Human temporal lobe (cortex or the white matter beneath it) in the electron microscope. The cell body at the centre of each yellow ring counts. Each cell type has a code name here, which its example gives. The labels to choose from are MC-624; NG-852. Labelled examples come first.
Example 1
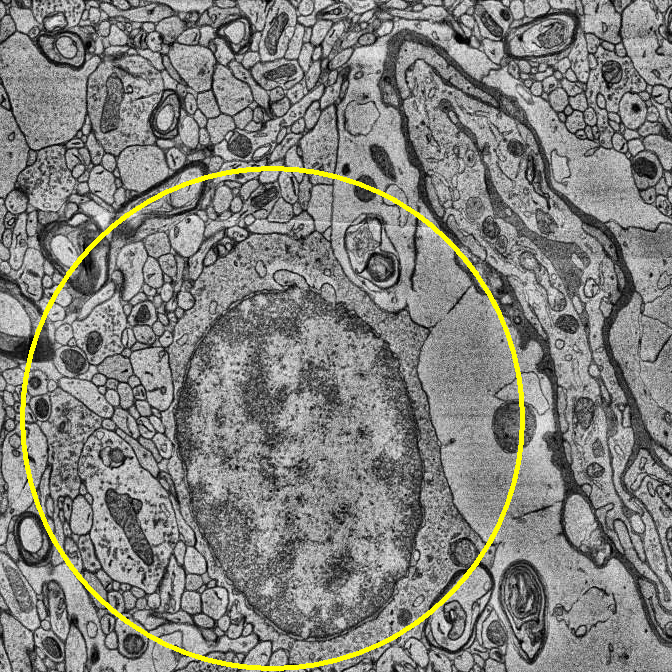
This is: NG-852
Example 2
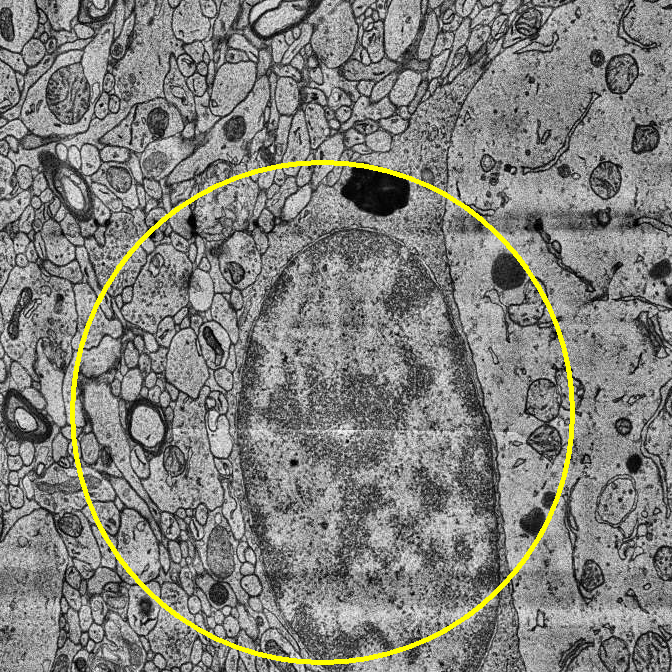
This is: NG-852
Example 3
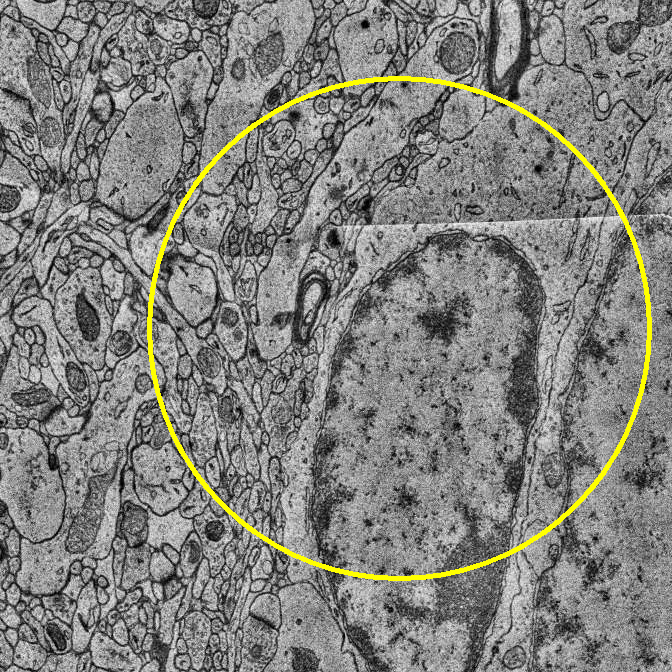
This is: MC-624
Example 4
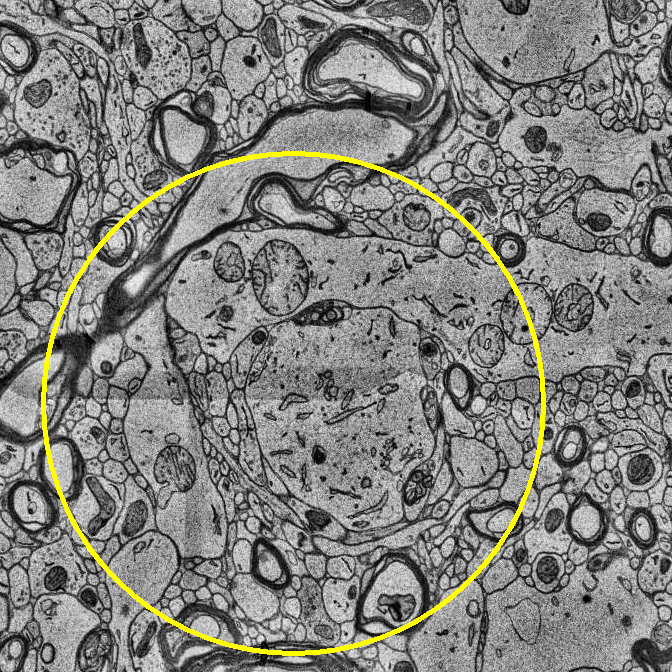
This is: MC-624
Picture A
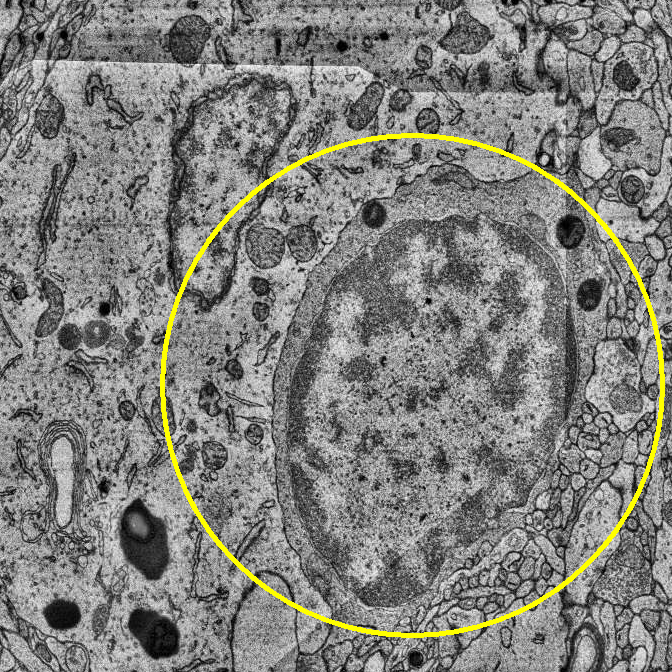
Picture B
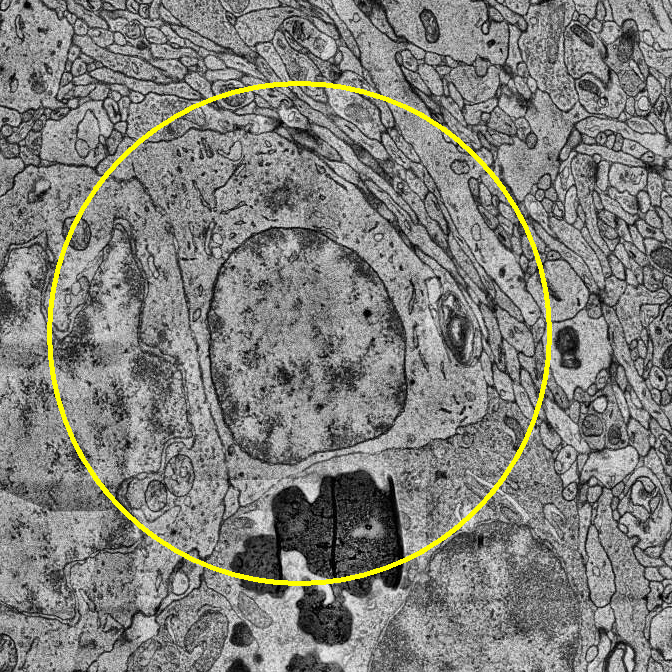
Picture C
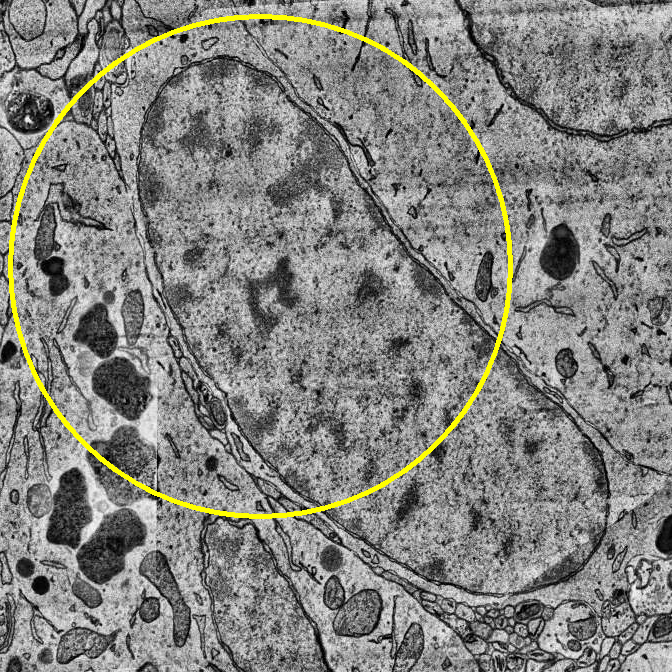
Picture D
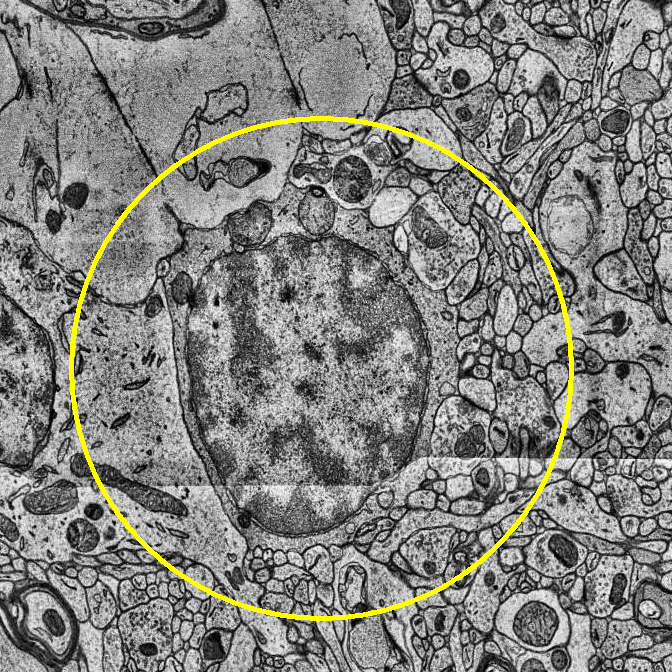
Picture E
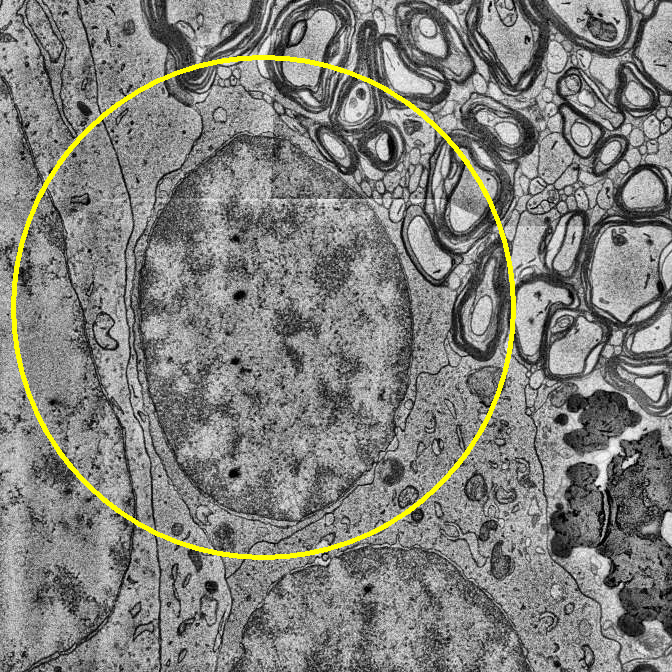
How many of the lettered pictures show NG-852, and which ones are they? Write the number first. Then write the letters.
Count: 3 (A, D, E)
